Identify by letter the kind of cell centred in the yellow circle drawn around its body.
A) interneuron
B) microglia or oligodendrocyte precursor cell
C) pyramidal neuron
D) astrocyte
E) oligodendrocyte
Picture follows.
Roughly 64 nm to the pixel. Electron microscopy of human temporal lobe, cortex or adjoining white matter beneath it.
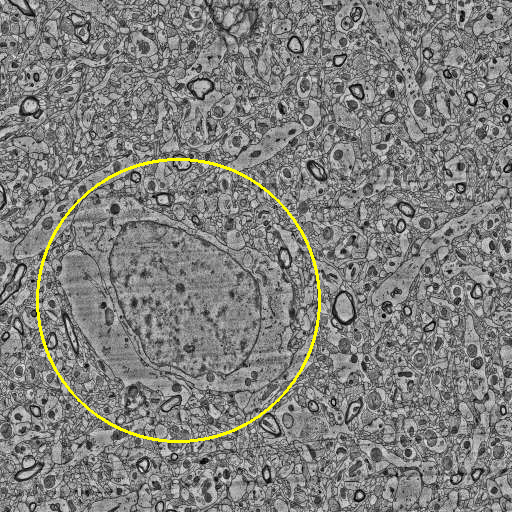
A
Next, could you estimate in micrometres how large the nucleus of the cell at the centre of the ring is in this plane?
In this plane the nucleus is about 12 micrometres by 8.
